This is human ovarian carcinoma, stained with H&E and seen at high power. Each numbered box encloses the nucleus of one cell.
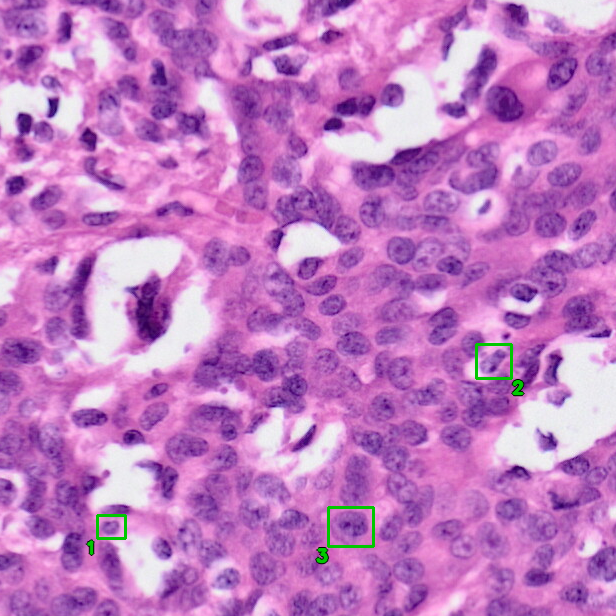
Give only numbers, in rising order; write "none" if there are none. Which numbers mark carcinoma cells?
3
